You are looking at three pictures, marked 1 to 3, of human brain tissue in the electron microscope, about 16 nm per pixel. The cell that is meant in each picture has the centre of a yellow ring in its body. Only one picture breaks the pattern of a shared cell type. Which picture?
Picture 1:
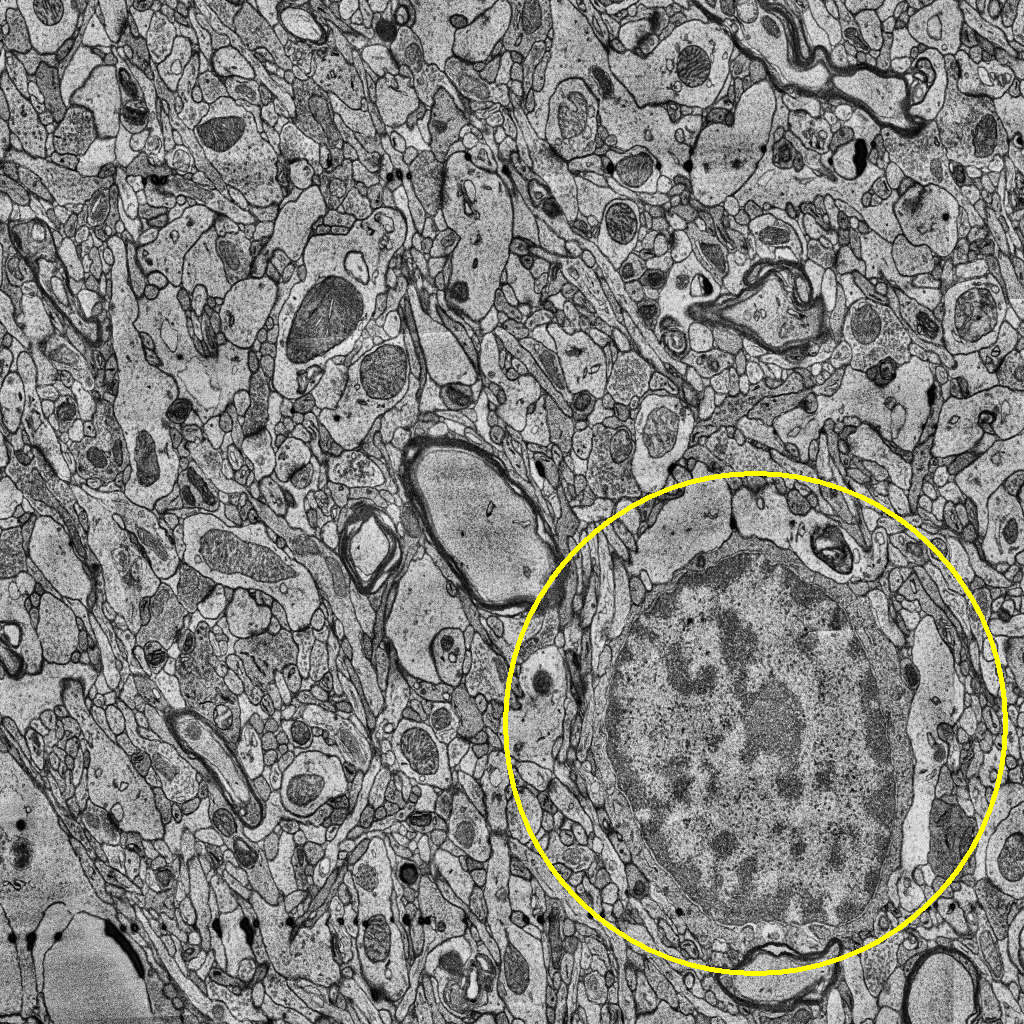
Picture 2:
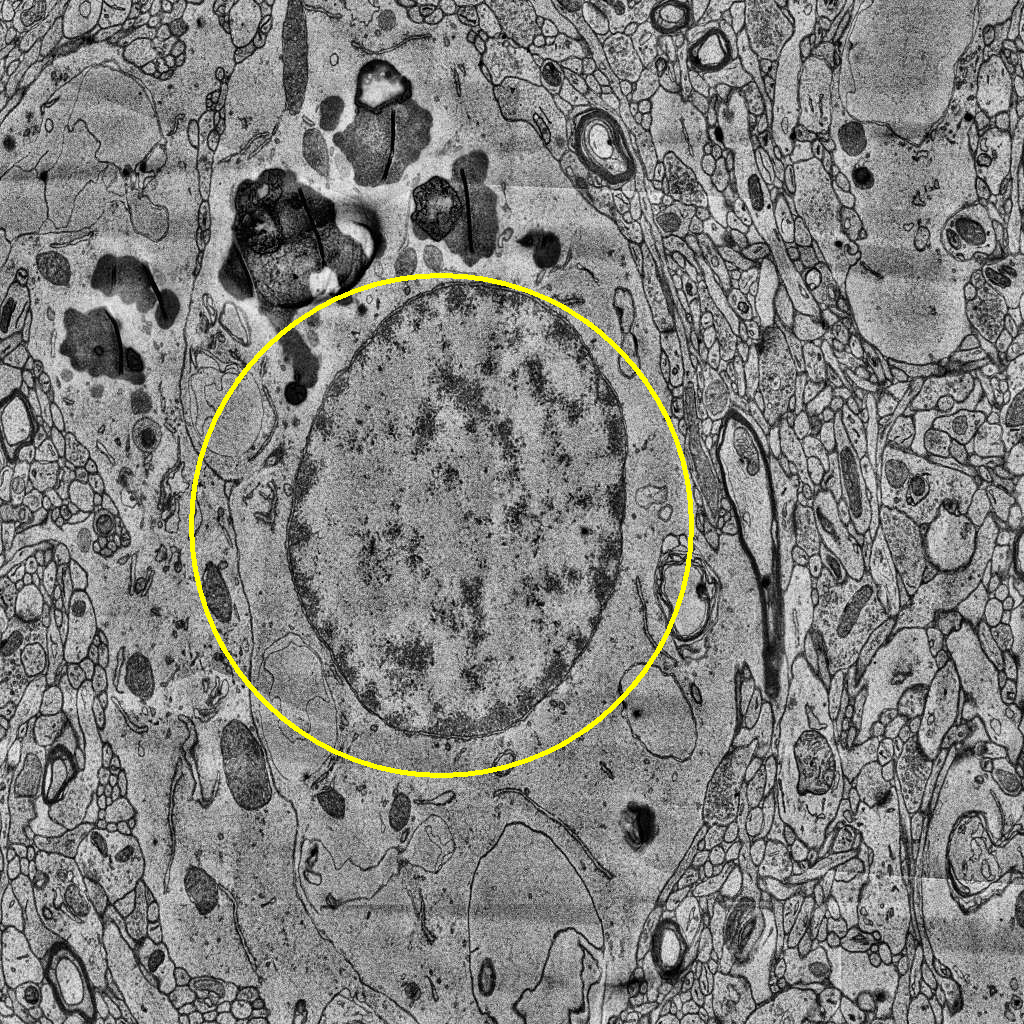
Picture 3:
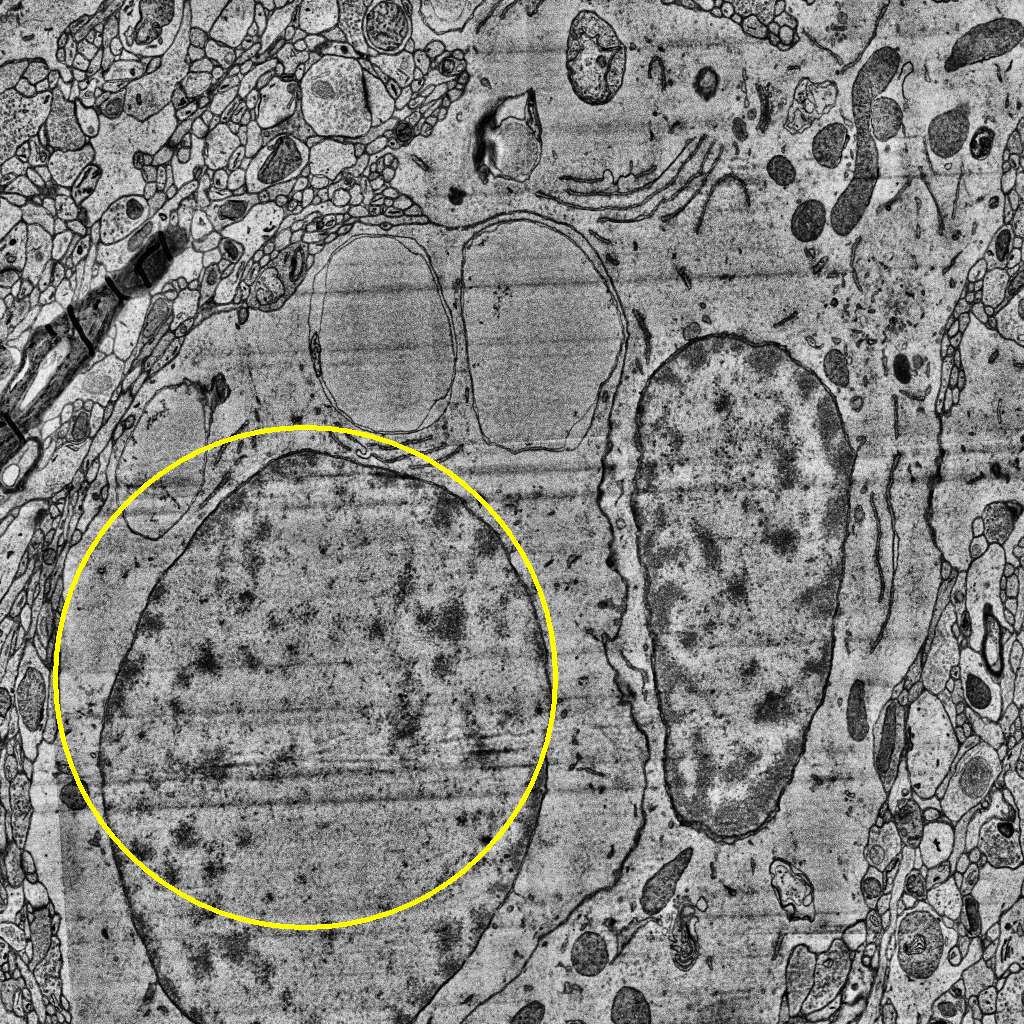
All pictures except 1 show astrocytes; picture 1 shows an oligodendrocyte.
